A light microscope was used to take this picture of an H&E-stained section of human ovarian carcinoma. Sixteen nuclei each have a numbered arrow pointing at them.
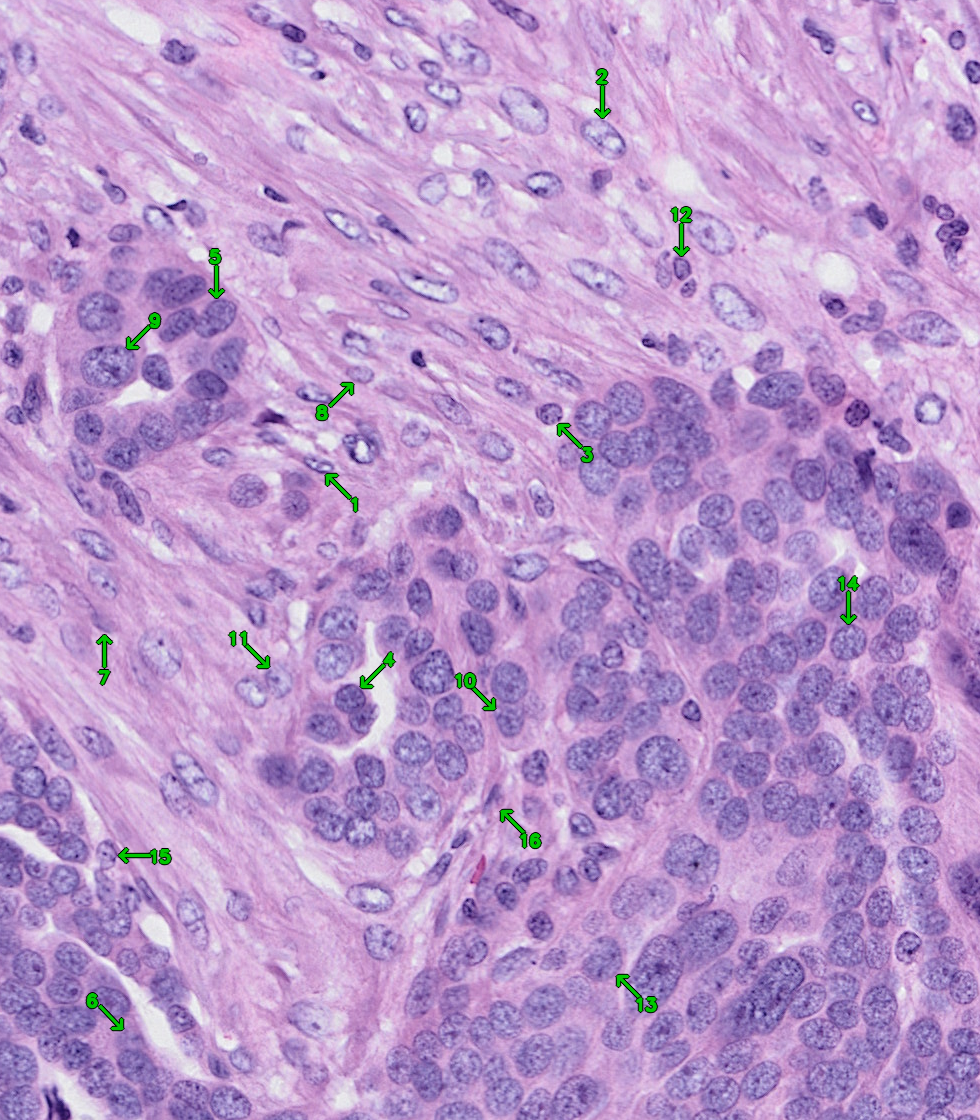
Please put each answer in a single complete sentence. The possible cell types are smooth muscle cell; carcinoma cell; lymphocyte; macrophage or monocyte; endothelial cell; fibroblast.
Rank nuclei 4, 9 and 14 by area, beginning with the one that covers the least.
The order from the smallest nucleus to the largest is 4, 14, 9.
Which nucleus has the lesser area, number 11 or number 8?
It is nucleus 8; nucleus 11 has about 2 times its area.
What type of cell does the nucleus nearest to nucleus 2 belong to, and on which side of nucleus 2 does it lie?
Just below nucleus 2 lies the nearest nucleus, which belongs to a macrophage or monocyte.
